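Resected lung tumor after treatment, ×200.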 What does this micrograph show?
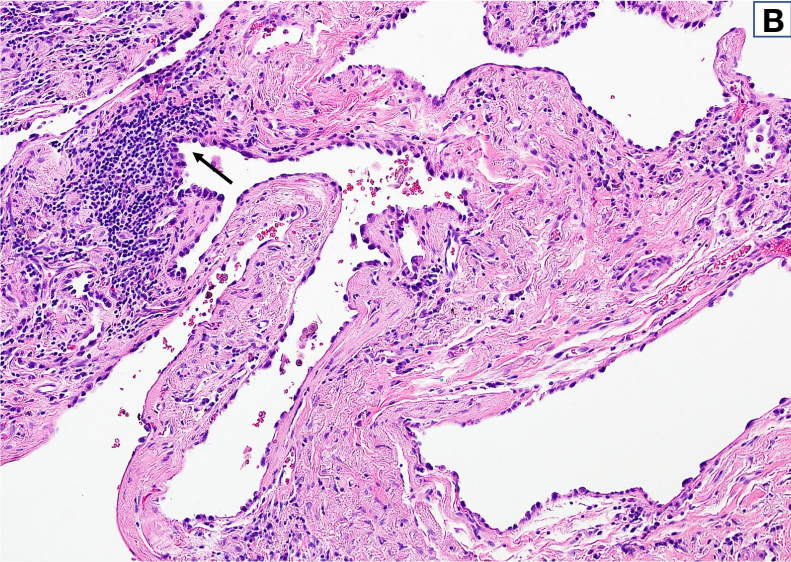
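The alveolar walls are widened by pink fibrous tissue with scattered spindle cells. A single layer of flat to plump cells lines the air spaces. On the left, a dense cluster of small, round, dark-staining lymphocytes sits in the wall. Next to it, the lining cells are crowded and plump. A few red blood cells lie free in the air spaces.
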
